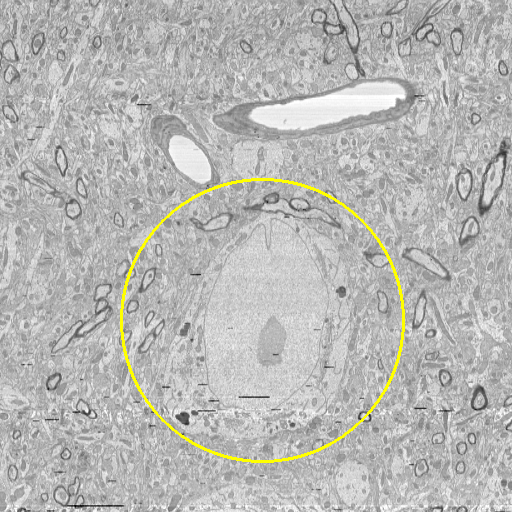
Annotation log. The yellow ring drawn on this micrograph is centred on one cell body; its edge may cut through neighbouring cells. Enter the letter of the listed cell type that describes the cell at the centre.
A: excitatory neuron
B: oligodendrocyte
A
